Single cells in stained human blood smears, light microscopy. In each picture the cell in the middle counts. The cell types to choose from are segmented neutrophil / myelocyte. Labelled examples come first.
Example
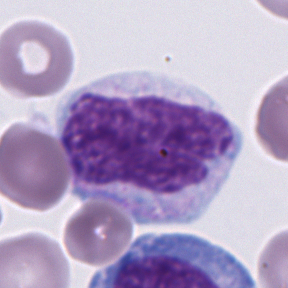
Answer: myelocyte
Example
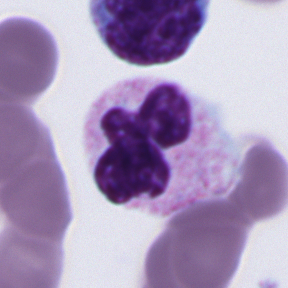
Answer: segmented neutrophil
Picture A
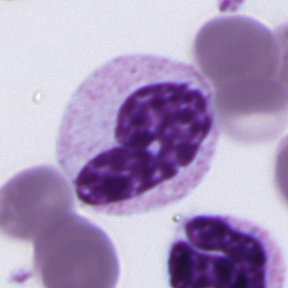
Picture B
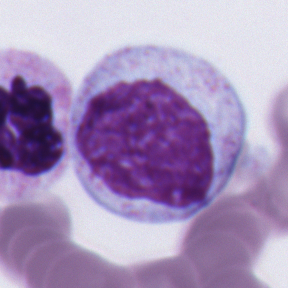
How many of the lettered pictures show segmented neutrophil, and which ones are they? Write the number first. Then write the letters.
1, namely A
